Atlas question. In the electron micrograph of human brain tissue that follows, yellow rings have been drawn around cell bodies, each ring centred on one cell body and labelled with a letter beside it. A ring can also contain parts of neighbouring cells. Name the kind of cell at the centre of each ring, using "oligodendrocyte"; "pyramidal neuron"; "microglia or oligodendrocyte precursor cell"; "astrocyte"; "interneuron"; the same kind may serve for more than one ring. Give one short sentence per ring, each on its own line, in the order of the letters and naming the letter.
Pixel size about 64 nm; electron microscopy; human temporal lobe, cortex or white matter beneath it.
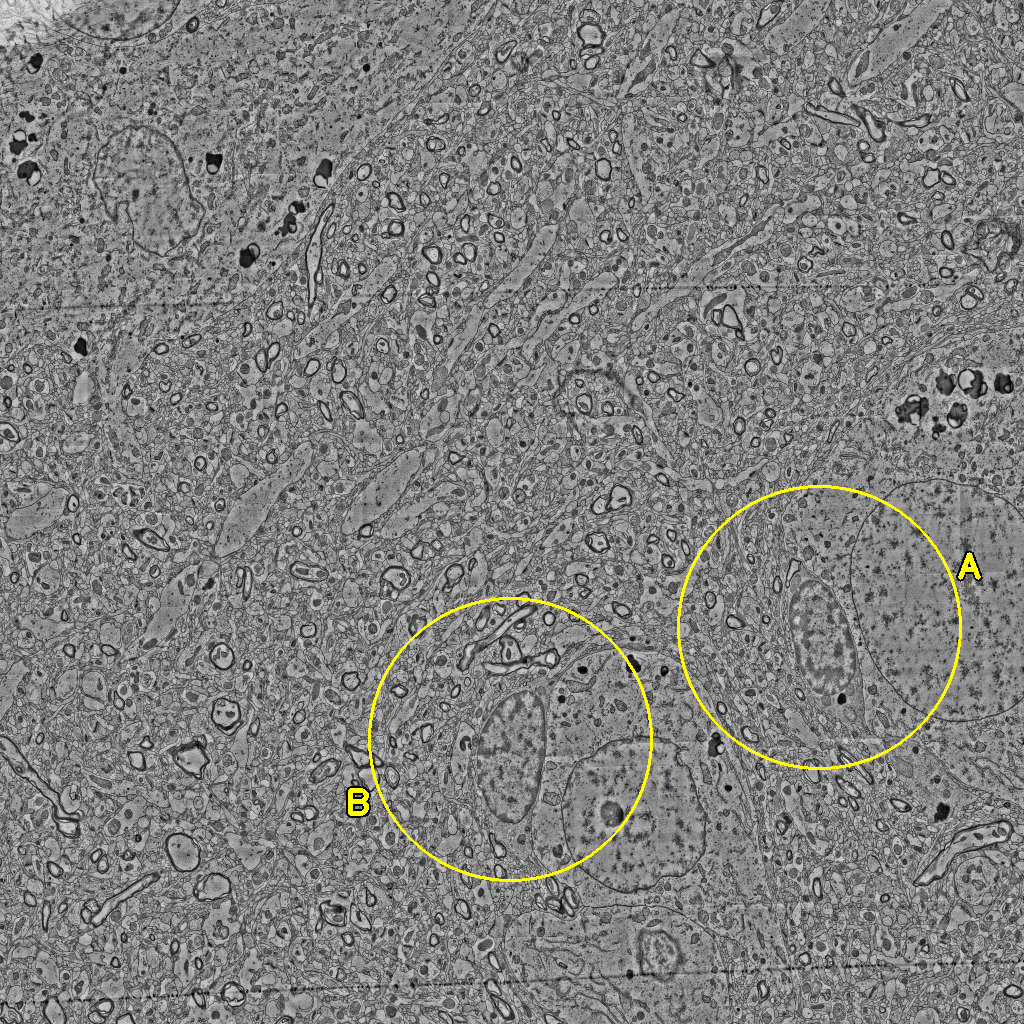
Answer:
For ring A, the cell at the centre is an oligodendrocyte.
For ring B, the cell at the centre is an oligodendrocyte.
